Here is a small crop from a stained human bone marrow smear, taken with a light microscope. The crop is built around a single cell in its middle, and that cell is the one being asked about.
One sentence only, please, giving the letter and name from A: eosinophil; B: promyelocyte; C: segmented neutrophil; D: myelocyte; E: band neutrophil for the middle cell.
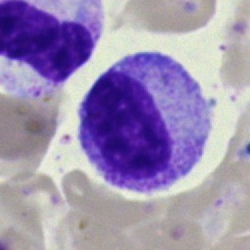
What option D states is correct, the central cell being a myelocyte.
